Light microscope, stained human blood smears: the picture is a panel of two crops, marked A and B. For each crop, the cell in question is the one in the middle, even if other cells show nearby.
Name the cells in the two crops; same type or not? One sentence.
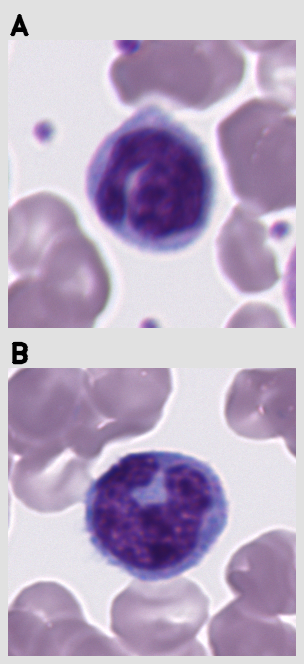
Yes, the two crops show monocytes, both of them.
